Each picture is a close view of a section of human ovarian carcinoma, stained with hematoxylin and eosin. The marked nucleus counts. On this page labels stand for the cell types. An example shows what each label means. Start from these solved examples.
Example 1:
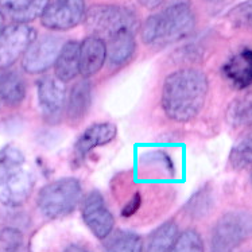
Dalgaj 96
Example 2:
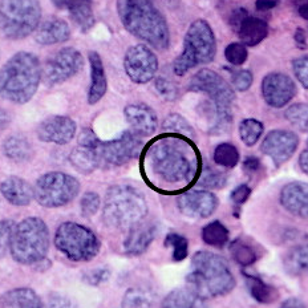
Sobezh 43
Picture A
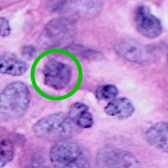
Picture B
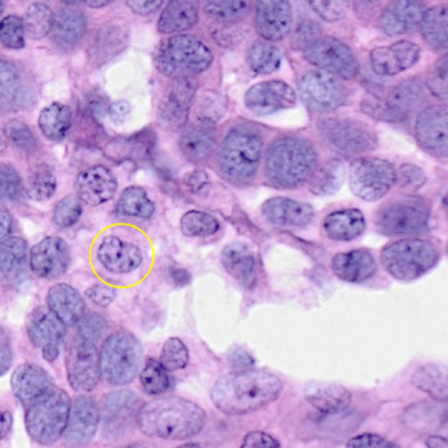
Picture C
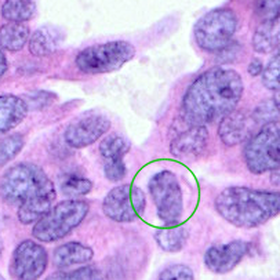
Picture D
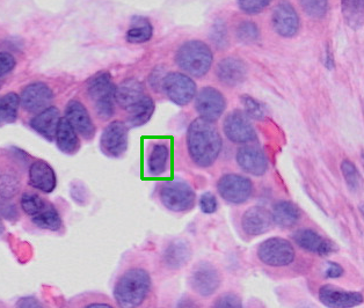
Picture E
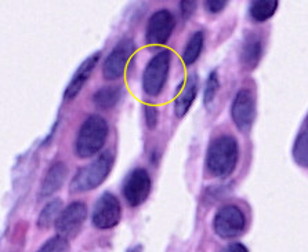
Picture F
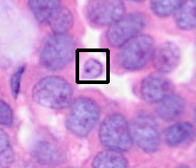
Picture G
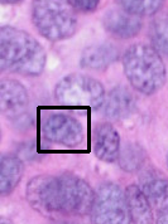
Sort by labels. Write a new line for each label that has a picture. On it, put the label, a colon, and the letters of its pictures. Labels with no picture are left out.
Dalgaj 96: A, B, C, D, F
Sobezh 43: E, G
